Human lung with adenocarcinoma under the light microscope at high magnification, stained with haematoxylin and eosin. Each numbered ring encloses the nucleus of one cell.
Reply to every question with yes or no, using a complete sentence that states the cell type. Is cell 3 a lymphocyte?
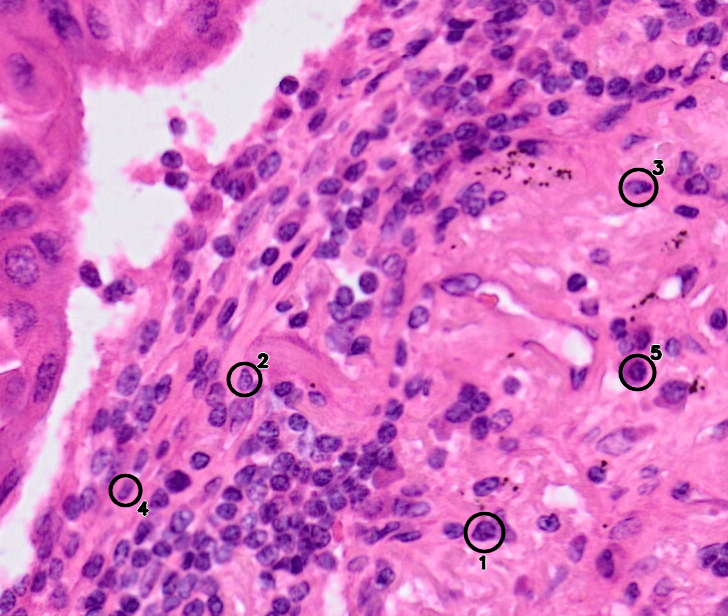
No, the cell given number 3 is a mast cell, as opposed to a lymphocyte.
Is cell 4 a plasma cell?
No, cell 4 has been misnamed; it is a lymphocyte, not a plasma cell.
